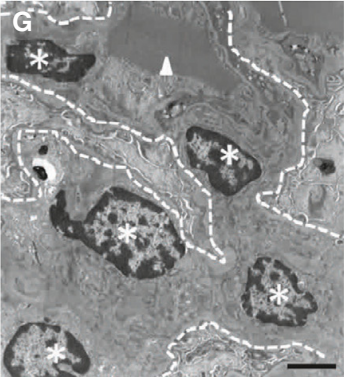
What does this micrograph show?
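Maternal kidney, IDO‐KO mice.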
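Glomerular capillaries whose spaces, outlined by white dashed lines, are largely filled by swollen endothelial cells with large dark nuclei and abundant grey cytoplasm. Only a single red blood cell is seen as a smooth grey anucleate body in a small remaining lumen. Little open capillary lumen is left compared with the crowded cellular material.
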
